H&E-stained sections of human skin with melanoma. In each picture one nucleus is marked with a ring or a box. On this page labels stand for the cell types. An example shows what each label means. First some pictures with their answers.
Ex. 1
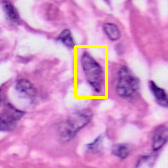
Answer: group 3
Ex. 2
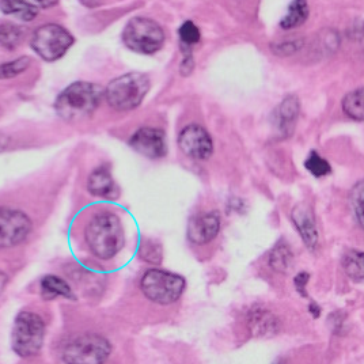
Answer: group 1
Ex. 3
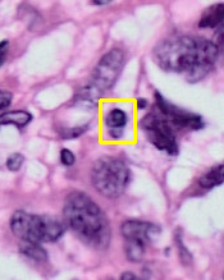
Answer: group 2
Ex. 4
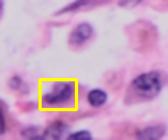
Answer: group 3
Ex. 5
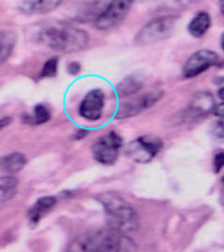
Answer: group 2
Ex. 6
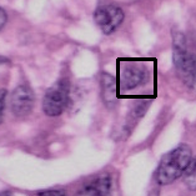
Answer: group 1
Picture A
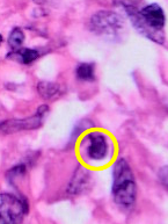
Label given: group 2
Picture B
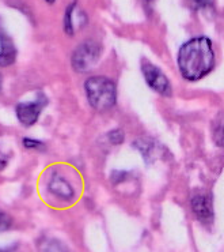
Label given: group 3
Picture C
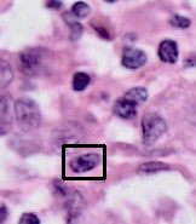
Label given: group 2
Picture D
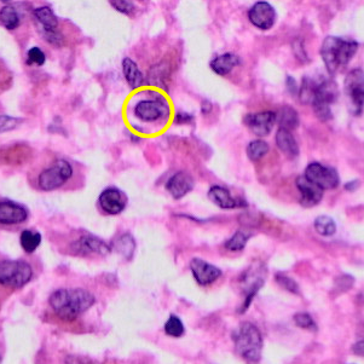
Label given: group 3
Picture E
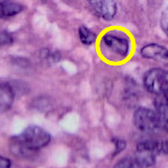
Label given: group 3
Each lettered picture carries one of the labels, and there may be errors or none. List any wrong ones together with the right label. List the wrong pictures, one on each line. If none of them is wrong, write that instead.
None of the labels needs changing.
